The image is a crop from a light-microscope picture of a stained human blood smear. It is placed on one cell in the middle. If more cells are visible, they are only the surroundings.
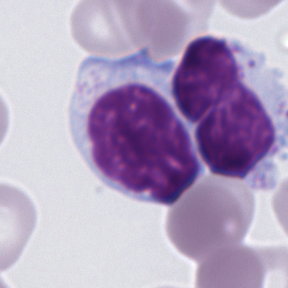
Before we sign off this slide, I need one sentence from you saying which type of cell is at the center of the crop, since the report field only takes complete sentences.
Looking at the middle of the crop, the cell there is a large granular lymphocyte.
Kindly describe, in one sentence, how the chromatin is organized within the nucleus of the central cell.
Answer: the chromatin is fine and has no coarse clumps.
